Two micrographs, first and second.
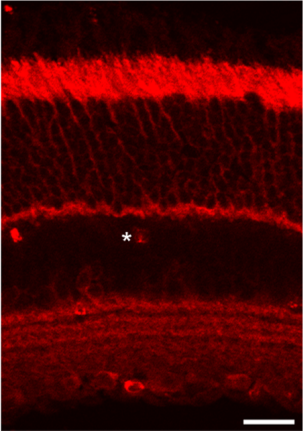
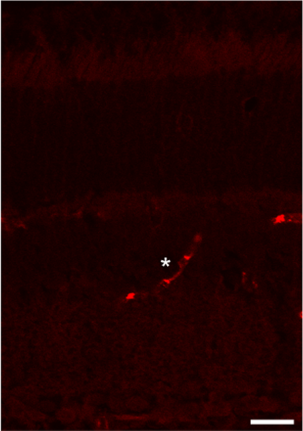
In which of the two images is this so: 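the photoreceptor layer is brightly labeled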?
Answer: the first image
